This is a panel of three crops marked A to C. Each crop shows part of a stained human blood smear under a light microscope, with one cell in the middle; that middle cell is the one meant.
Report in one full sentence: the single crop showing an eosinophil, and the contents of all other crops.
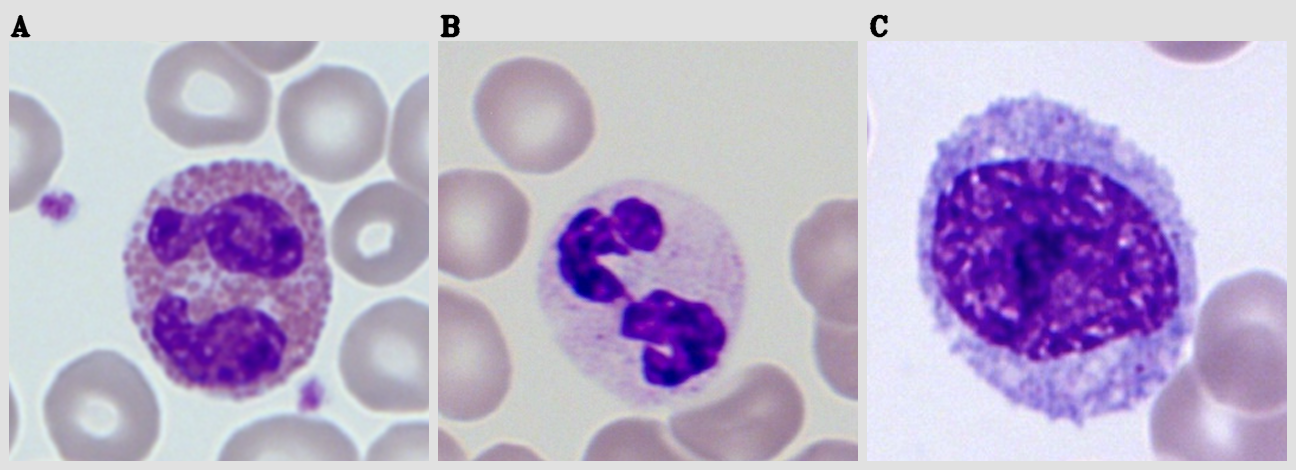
Crop A should be logged as an eosinophil, while crop B is a neutrophil and crop C is a monocyte.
